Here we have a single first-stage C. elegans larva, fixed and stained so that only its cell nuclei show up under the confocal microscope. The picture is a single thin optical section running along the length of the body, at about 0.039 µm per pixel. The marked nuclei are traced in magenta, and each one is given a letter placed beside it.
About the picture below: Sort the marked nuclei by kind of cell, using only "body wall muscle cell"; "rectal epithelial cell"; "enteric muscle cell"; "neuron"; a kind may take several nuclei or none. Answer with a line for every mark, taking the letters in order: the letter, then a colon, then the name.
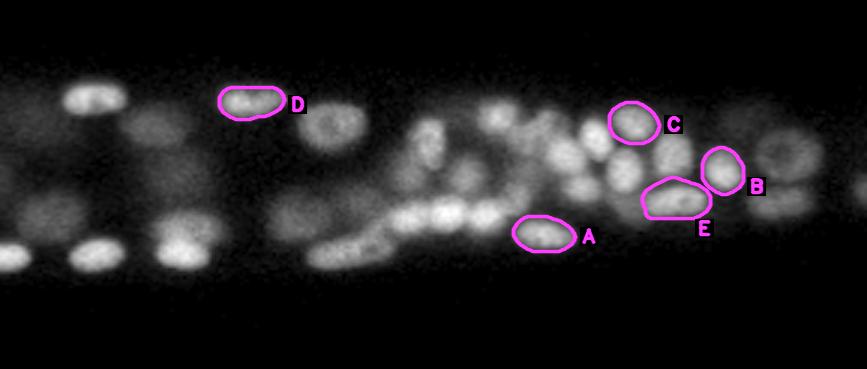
A: rectal epithelial cell
B: neuron
C: neuron
D: body wall muscle cell
E: body wall muscle cell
